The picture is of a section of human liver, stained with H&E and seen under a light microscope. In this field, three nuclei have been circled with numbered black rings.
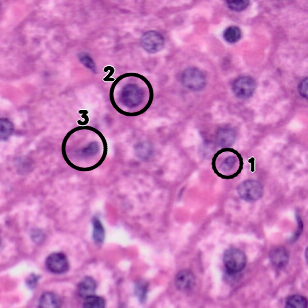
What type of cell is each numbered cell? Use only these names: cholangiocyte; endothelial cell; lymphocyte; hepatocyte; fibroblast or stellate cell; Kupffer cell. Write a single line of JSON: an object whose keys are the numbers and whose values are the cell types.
{"1": "fibroblast or stellate cell", "2": "hepatocyte", "3": "Kupffer cell"}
